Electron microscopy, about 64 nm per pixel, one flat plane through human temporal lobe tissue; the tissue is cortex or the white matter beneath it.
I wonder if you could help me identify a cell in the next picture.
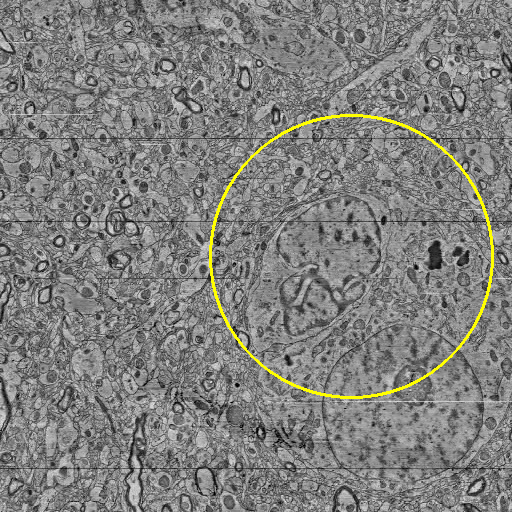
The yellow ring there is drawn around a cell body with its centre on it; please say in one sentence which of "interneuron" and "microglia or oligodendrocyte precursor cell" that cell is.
The yellow ring is centred on a microglial cell or oligodendrocyte precursor cell.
